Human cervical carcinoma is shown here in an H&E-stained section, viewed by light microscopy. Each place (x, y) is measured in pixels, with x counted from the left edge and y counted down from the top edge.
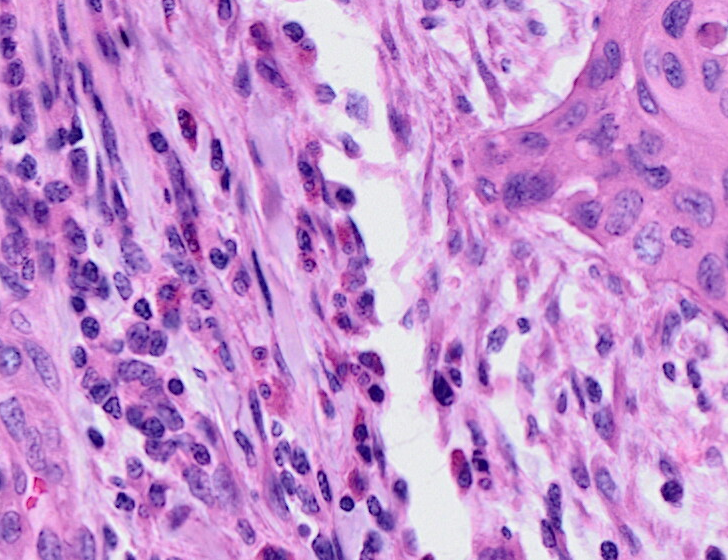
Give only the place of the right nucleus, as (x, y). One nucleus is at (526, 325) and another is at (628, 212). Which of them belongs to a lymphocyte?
(526, 325)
